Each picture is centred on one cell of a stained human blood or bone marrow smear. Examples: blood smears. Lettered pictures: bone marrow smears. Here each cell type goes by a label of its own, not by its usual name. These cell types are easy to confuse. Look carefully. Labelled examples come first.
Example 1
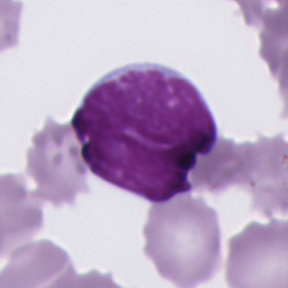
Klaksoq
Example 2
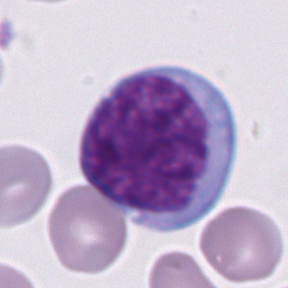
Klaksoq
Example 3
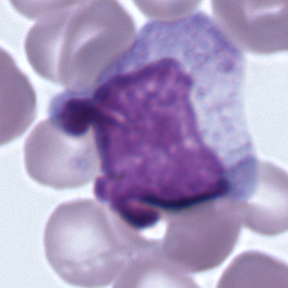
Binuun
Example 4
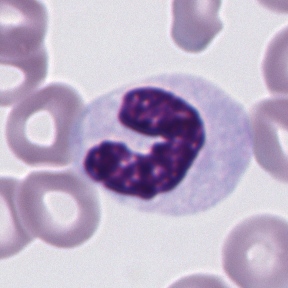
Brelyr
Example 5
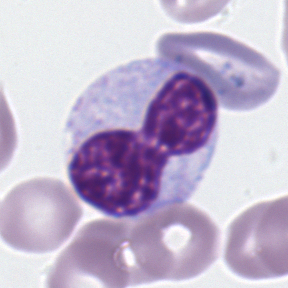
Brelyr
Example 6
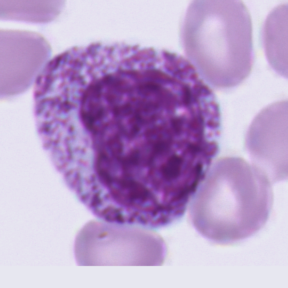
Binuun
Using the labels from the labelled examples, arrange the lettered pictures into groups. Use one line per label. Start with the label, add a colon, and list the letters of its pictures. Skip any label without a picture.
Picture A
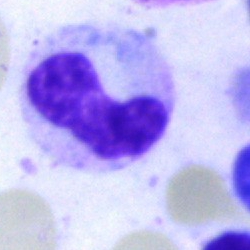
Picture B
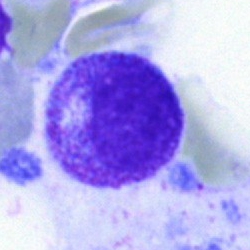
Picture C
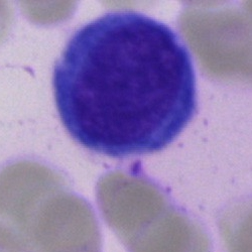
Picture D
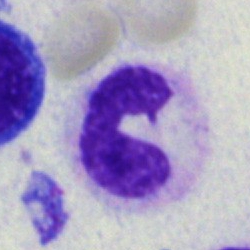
Klaksoq: C
Binuun: B
Brelyr: A, D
